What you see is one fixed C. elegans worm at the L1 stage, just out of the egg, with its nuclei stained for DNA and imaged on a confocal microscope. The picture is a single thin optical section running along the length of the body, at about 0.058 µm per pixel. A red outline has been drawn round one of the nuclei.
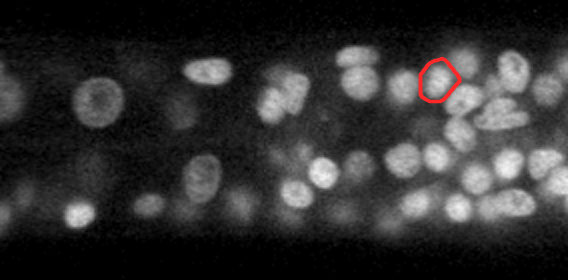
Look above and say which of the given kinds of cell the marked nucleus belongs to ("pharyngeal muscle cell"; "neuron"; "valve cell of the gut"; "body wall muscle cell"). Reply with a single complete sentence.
It belongs to a neuron.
